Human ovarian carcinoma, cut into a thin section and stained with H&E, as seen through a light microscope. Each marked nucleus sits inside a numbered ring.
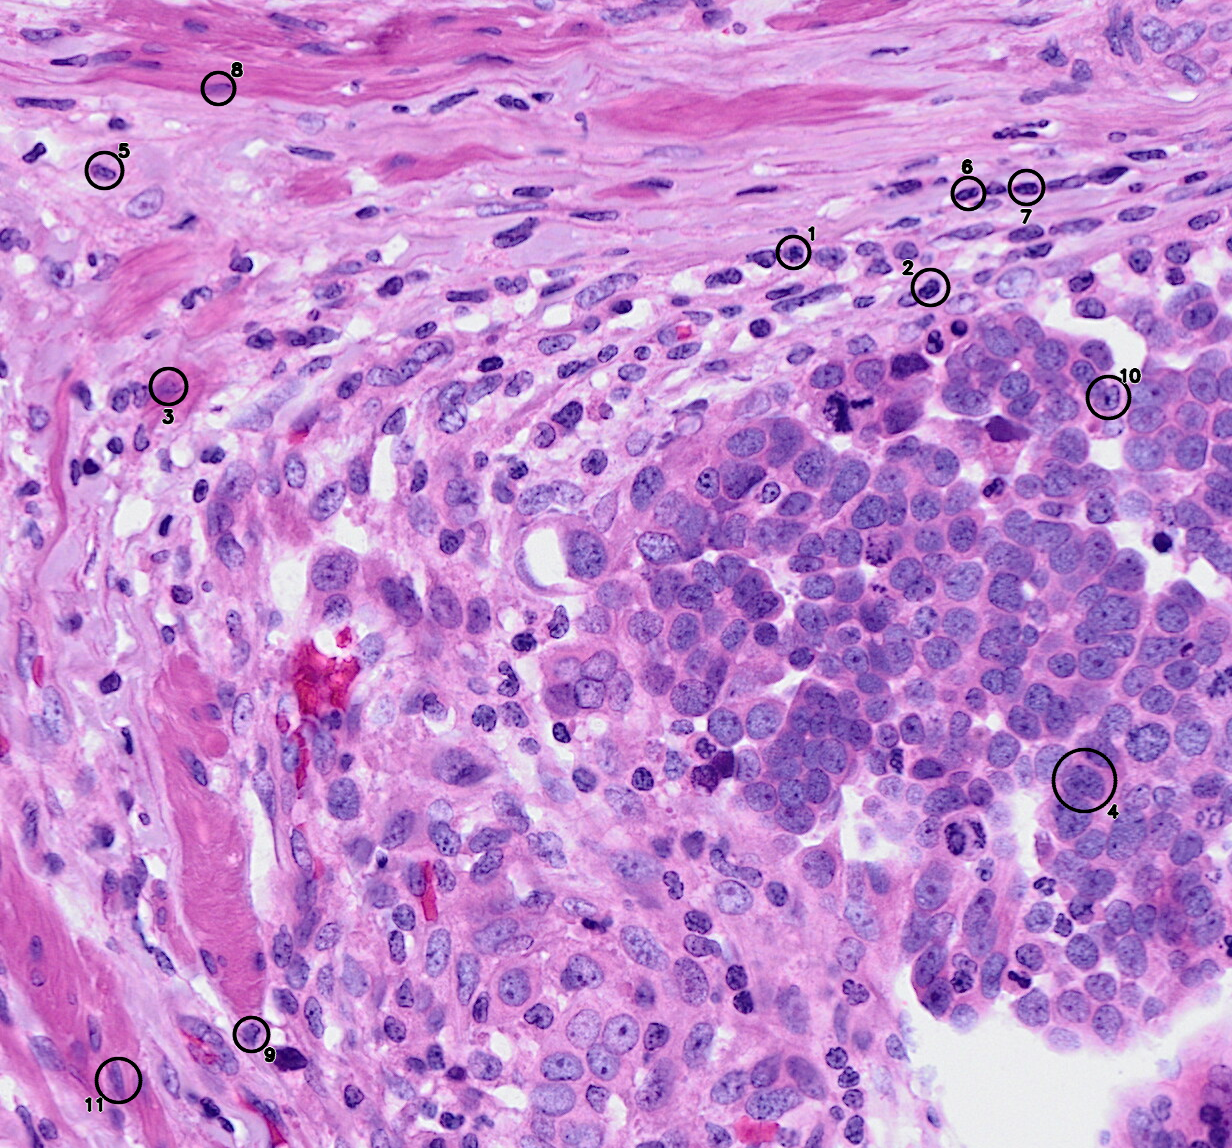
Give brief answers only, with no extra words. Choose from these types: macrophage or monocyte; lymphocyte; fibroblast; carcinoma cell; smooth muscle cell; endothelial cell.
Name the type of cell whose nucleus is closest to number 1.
macrophage or monocyte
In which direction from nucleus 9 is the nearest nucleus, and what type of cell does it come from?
an endothelial cell; below and to the left of nucleus 9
